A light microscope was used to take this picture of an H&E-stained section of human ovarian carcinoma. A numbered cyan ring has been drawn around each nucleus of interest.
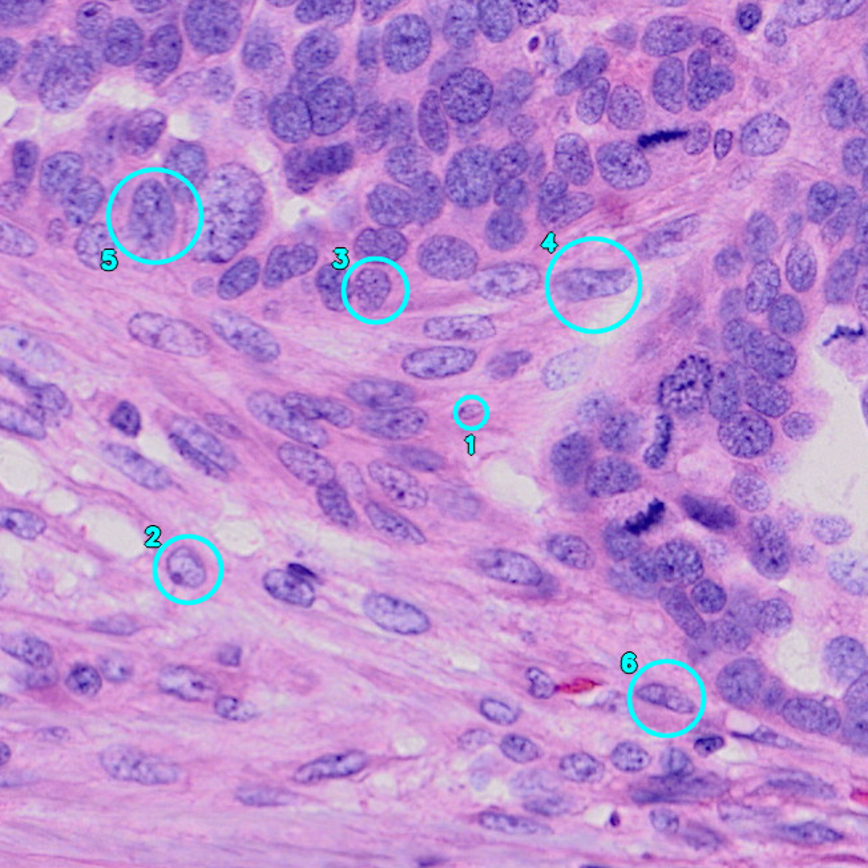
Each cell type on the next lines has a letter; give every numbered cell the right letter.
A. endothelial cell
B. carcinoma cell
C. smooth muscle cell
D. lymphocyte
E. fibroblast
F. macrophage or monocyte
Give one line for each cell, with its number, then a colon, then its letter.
1: E
2: E
3: B
4: E
5: B
6: E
